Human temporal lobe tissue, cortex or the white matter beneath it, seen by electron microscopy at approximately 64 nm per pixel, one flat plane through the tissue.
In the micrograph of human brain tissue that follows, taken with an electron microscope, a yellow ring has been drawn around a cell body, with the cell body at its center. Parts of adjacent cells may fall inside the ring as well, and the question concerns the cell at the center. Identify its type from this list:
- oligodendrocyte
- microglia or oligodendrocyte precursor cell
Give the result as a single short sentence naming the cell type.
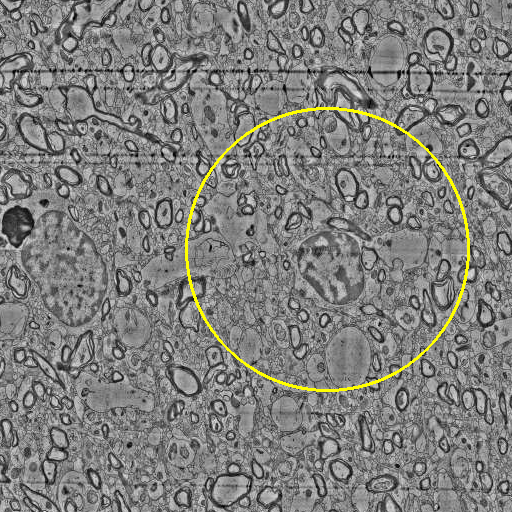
The ring is centered on a microglial cell or oligodendrocyte precursor cell.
